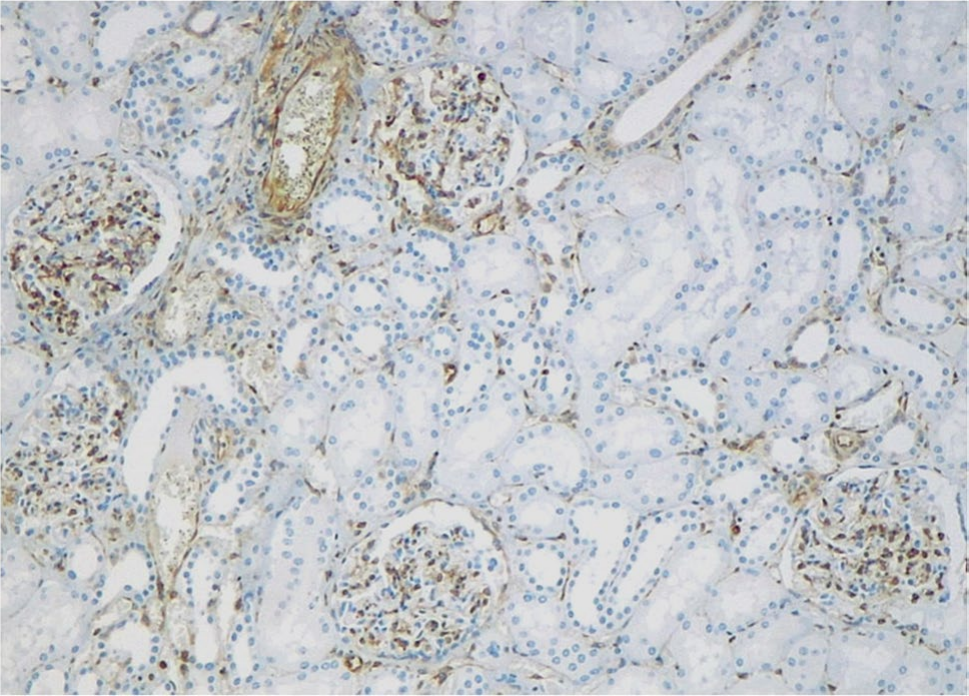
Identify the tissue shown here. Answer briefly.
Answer: Renal parenchyma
